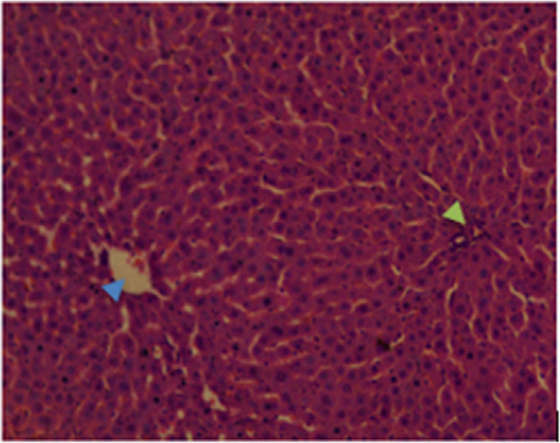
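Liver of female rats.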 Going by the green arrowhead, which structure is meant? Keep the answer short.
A: Portal triad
